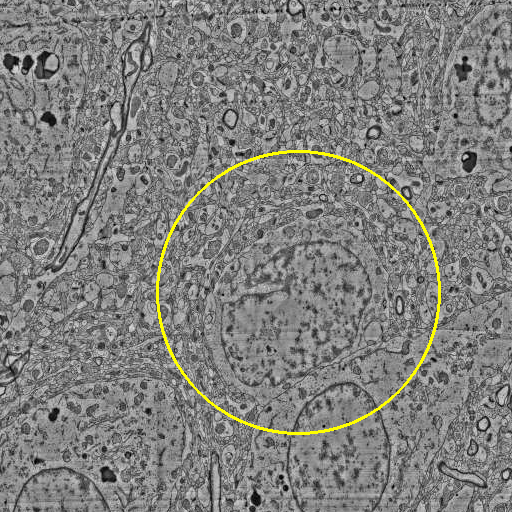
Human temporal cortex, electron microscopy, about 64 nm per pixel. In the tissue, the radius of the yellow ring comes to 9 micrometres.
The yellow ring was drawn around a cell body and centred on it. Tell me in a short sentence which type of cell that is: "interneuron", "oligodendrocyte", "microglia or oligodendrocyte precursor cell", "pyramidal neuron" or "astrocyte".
The cell at the ring's centre is an interneuron.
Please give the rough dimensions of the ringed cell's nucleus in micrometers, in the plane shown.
In this plane the nucleus measures roughly 11 by 8 micrometres.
